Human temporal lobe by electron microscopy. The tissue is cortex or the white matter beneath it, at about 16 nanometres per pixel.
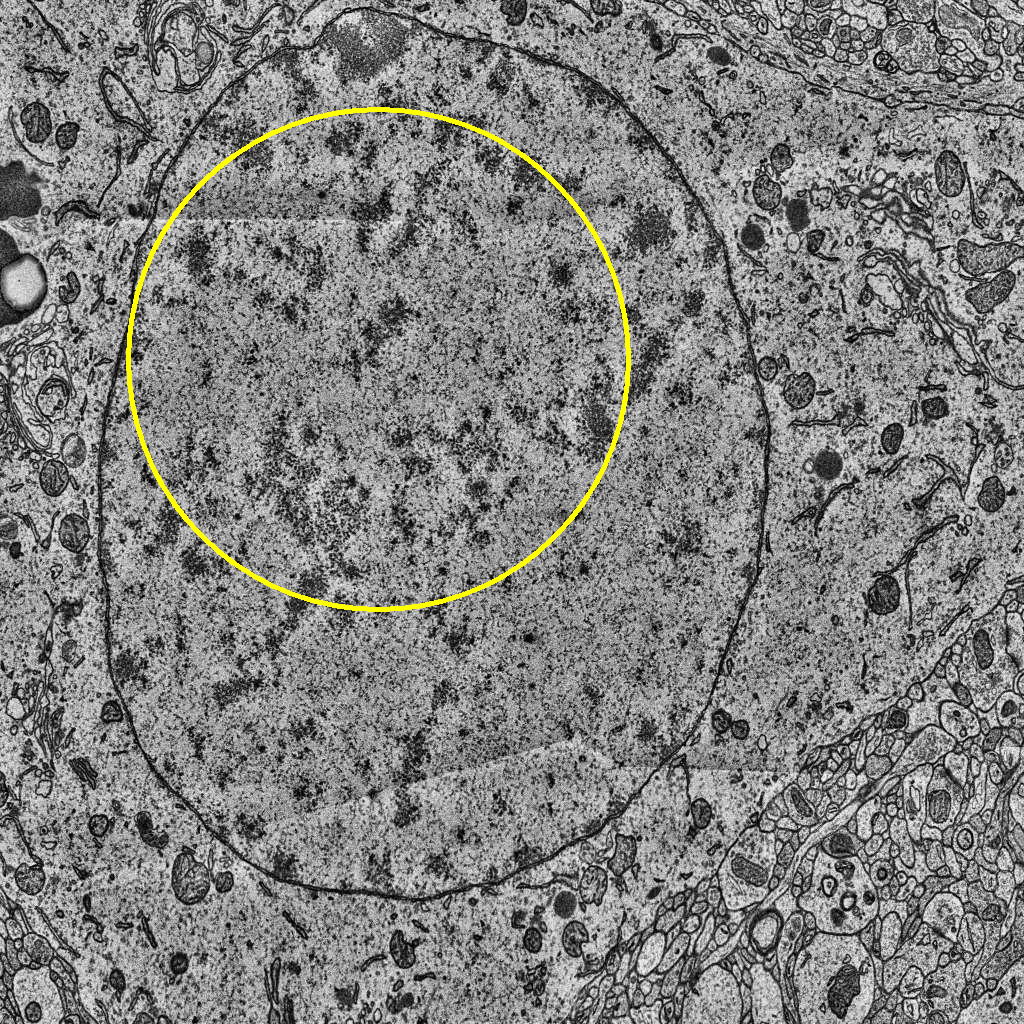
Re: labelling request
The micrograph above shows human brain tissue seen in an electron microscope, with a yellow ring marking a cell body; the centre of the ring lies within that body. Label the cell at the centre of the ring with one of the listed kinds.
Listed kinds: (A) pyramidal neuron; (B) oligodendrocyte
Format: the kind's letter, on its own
A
